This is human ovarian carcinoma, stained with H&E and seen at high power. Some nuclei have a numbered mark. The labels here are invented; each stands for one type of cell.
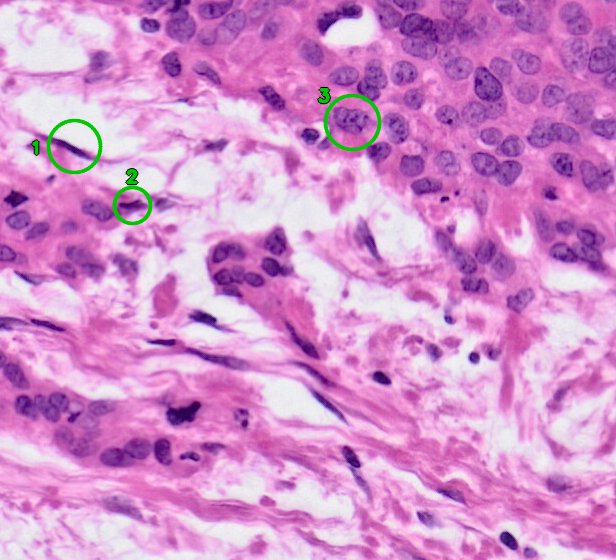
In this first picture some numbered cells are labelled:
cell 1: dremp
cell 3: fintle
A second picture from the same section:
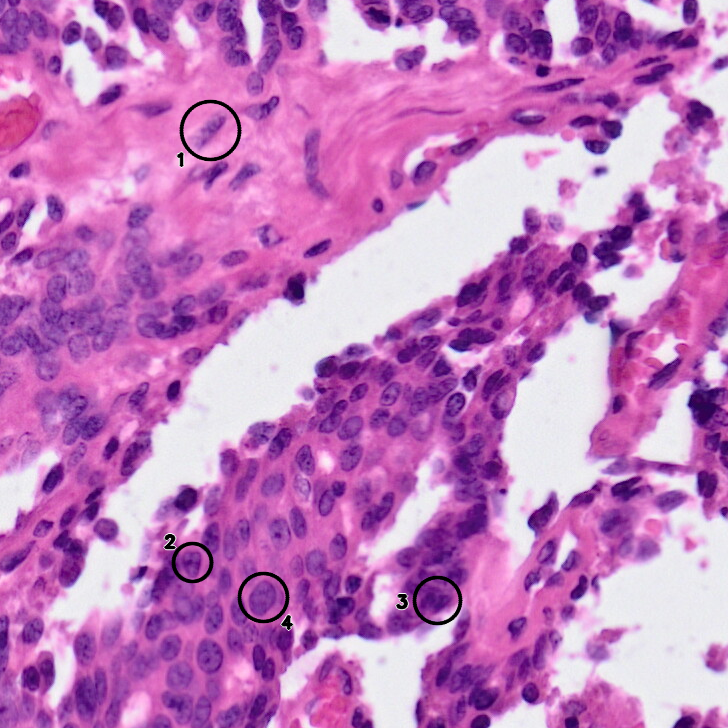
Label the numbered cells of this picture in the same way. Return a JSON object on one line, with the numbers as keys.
{"1": "dremp", "2": "fintle", "3": "fintle", "4": "fintle"}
